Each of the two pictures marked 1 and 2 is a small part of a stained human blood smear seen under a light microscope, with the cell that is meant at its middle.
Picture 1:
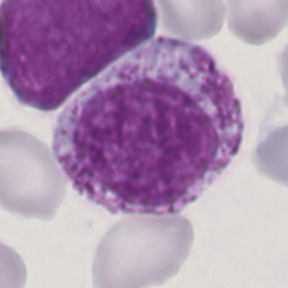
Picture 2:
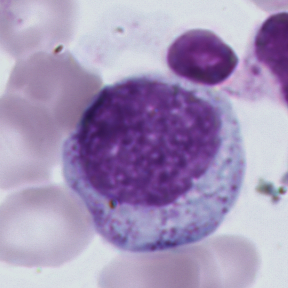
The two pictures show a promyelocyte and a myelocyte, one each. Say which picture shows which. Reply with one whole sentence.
Picture 2 shows a promyelocyte, while picture 1 shows a myelocyte.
